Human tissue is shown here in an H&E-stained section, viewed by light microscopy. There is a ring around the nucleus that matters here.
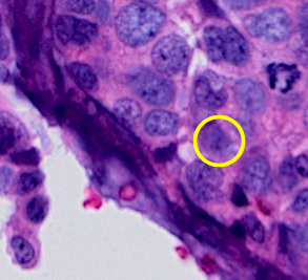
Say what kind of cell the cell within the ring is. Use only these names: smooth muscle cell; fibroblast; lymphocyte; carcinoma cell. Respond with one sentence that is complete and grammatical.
So far as cell type goes, the cell within the ring is a carcinoma cell.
